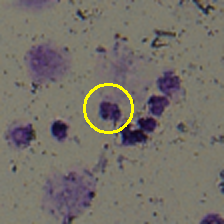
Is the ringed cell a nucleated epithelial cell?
No, it is a leukocyte.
